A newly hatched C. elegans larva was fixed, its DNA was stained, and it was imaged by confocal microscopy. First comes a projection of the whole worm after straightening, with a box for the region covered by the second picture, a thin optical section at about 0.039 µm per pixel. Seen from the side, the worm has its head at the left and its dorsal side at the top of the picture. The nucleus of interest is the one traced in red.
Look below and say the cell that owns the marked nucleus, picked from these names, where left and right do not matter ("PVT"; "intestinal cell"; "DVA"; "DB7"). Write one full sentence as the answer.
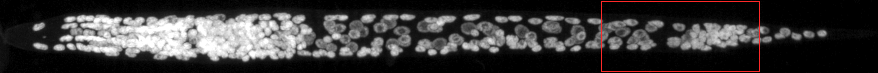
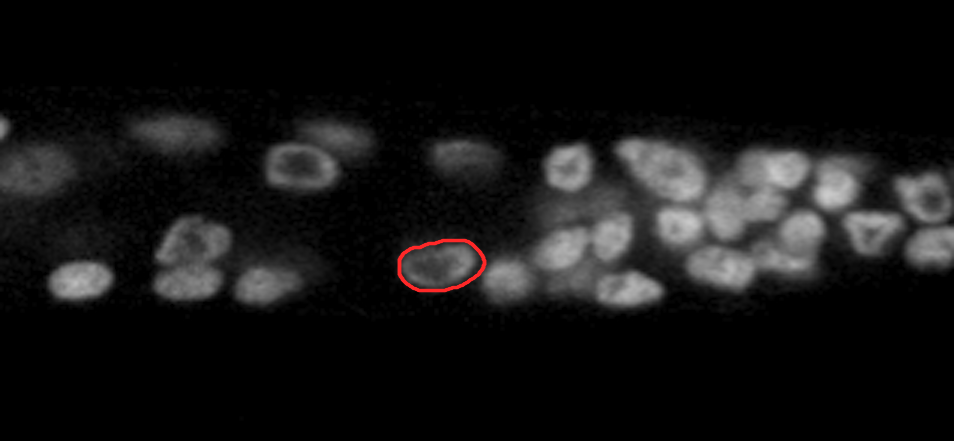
The nucleus is from an intestinal cell.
